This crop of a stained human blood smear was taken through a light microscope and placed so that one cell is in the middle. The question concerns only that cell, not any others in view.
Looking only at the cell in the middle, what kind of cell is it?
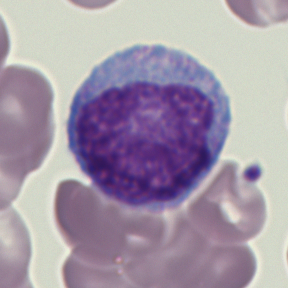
monocyte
